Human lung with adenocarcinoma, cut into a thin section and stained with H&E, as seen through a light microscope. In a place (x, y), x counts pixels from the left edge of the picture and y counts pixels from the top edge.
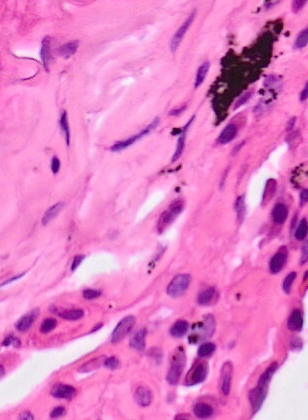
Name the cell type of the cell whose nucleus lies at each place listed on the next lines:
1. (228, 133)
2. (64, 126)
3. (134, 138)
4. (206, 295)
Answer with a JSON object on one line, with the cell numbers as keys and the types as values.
{"1": "plasma cell", "2": "fibroblast", "3": "fibroblast", "4": "plasma cell"}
